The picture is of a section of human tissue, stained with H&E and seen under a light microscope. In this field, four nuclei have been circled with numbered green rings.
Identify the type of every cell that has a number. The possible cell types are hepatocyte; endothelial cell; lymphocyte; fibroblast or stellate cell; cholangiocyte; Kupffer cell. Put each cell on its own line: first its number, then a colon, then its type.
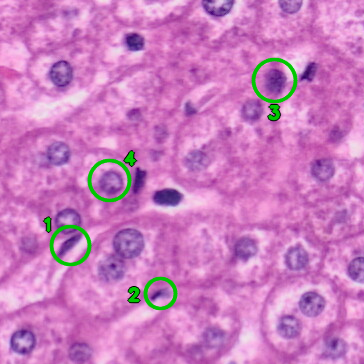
1: Kupffer cell
2: endothelial cell
3: endothelial cell
4: hepatocyte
